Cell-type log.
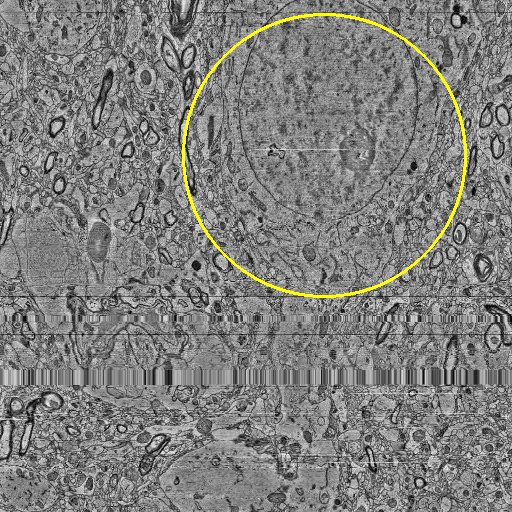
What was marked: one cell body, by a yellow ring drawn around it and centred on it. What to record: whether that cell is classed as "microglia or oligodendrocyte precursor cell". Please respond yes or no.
No, the cell belongs to another class.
